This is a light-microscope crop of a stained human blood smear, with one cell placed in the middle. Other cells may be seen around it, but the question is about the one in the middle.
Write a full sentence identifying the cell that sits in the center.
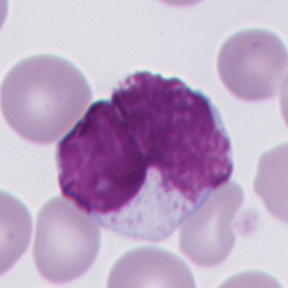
The cell that lies at the centre of the crop is a large granular lymphocyte.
